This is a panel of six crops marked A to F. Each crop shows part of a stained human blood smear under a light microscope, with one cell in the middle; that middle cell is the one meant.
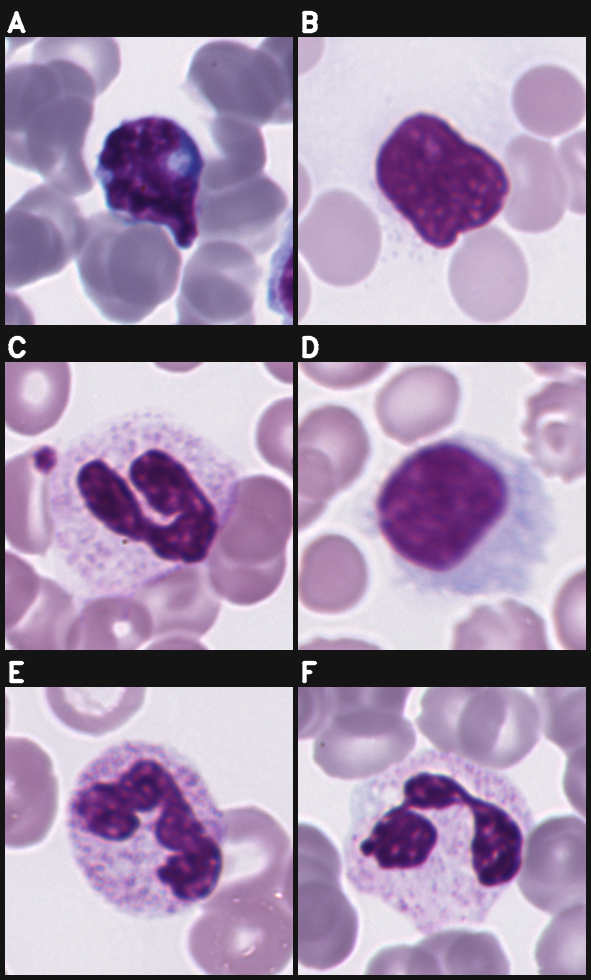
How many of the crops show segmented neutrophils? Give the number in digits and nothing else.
3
